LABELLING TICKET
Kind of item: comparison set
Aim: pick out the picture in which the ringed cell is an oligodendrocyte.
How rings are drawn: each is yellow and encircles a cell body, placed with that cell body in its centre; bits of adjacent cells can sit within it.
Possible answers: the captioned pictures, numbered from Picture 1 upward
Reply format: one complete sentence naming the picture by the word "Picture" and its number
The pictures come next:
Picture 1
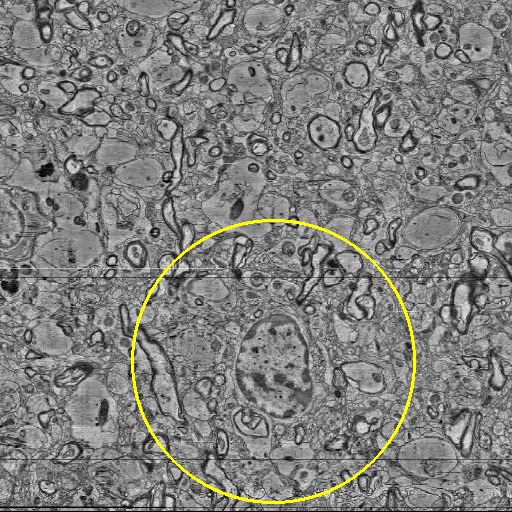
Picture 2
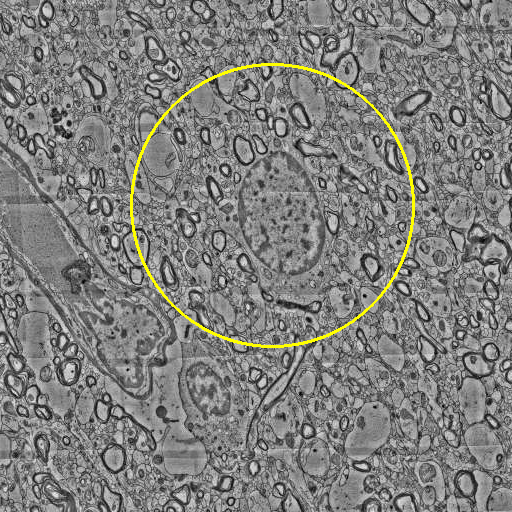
The cell centred inside the yellow ring in Picture 2 is the requested one.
